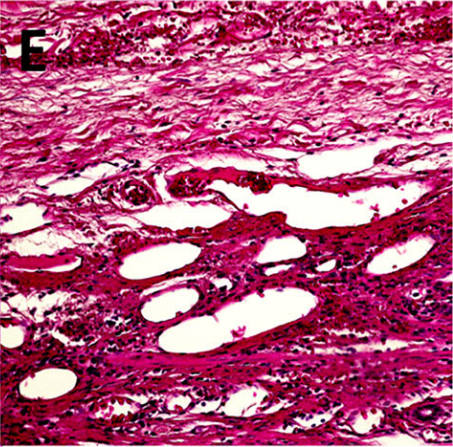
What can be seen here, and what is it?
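The lower two thirds are crowded with rounded, oval and elongated lumens that are mostly empty and white, some holding a few red cells. Their walls are thin and uneven, and the vessels lie close together in a dense, strongly pink stroma dotted with small dark nuclei. Toward the top the tissue becomes looser and fibrillar, with wavy pink strands and a layer of red blood cells at the very upper edge.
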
